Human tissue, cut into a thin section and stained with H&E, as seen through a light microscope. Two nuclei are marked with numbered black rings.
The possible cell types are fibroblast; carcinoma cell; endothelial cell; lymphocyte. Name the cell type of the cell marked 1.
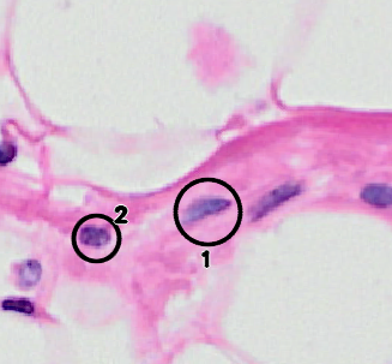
endothelial cell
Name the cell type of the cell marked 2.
lymphocyte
